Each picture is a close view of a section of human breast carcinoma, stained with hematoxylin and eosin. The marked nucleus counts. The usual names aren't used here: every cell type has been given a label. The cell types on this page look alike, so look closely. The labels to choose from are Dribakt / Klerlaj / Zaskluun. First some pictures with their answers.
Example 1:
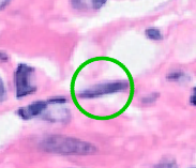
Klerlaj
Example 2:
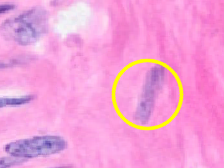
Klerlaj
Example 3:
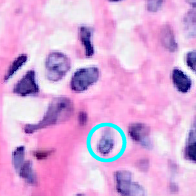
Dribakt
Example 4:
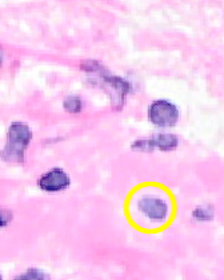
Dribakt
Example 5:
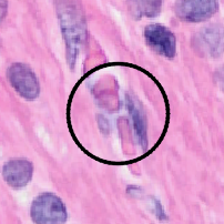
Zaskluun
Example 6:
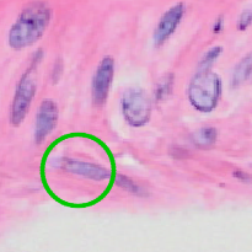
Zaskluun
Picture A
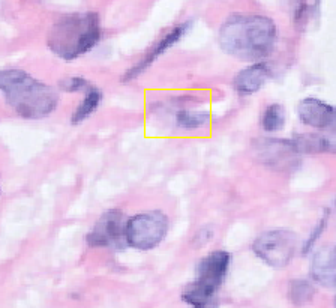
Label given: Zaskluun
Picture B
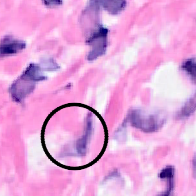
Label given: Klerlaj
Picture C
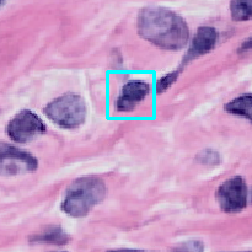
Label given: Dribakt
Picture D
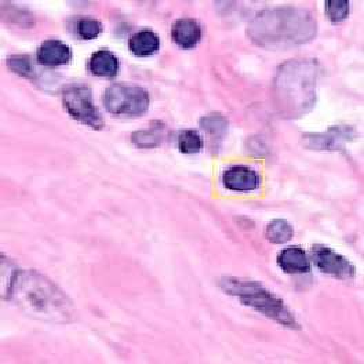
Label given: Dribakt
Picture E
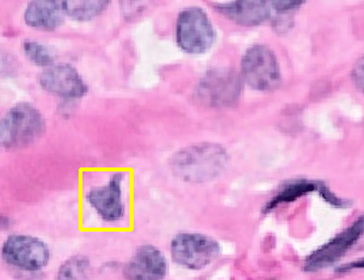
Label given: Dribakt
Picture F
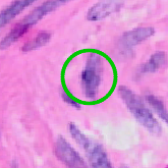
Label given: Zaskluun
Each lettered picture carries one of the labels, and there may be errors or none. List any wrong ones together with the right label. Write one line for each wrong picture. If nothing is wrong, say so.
Every label is right.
